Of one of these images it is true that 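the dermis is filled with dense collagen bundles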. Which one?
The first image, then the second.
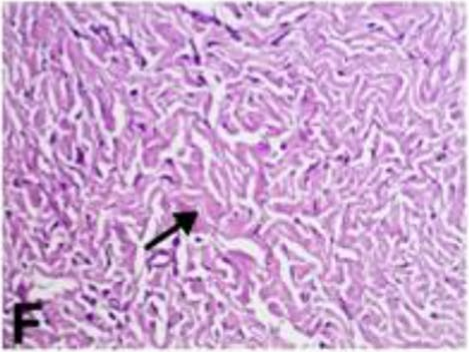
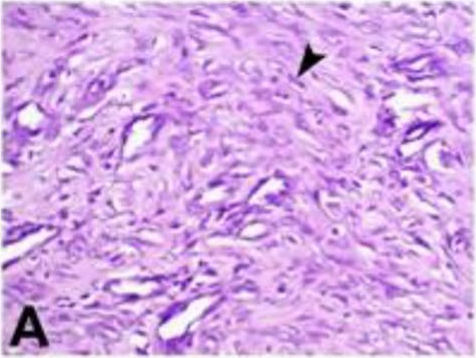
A: The first image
